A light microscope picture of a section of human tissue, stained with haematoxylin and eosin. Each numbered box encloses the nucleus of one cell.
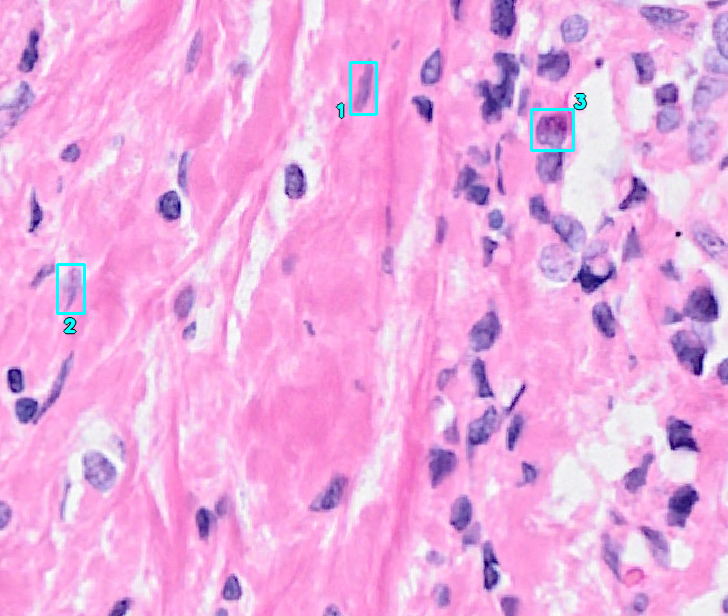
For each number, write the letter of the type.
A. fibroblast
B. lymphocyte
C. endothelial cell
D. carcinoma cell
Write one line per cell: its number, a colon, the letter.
1: A
2: A
3: D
